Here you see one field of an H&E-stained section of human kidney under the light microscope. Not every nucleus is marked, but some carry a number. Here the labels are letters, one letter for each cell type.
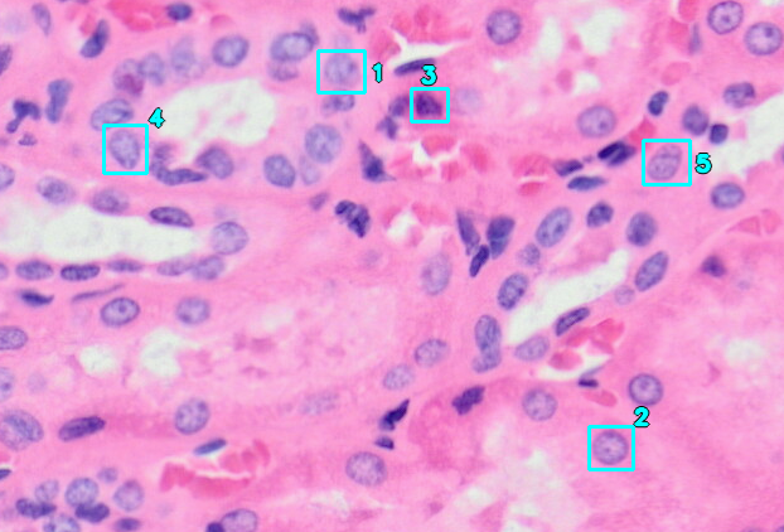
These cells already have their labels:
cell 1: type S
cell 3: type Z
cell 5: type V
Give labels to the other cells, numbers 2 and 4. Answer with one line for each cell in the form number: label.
2: type Z
4: type S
